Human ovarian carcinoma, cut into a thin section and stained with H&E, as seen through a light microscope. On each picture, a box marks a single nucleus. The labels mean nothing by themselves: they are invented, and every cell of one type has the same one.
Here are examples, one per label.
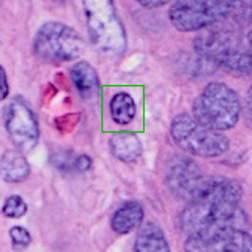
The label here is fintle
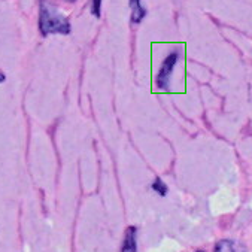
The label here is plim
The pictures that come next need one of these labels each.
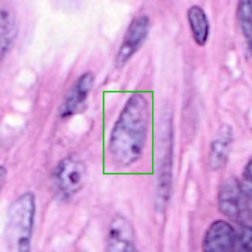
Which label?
plim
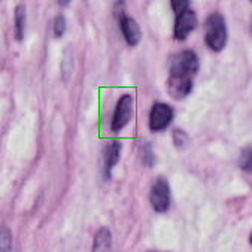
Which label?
fintle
